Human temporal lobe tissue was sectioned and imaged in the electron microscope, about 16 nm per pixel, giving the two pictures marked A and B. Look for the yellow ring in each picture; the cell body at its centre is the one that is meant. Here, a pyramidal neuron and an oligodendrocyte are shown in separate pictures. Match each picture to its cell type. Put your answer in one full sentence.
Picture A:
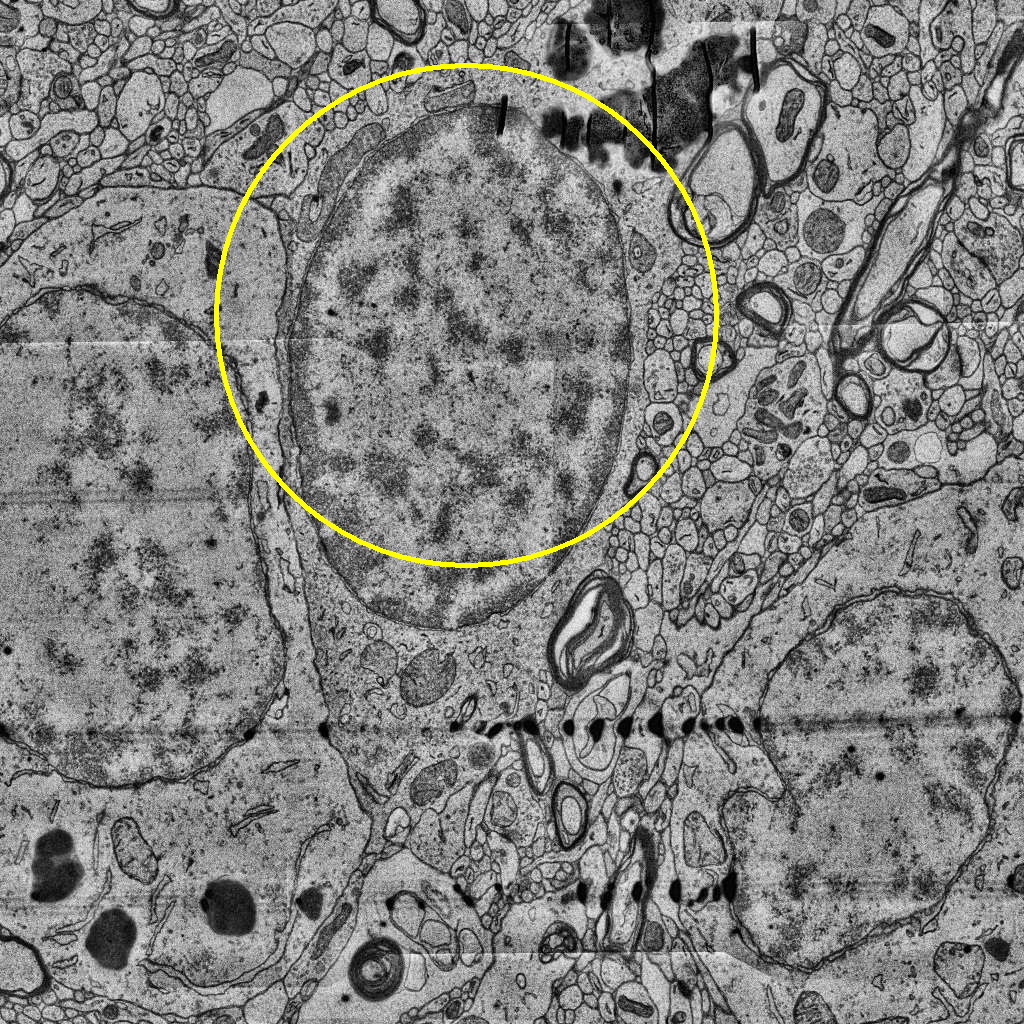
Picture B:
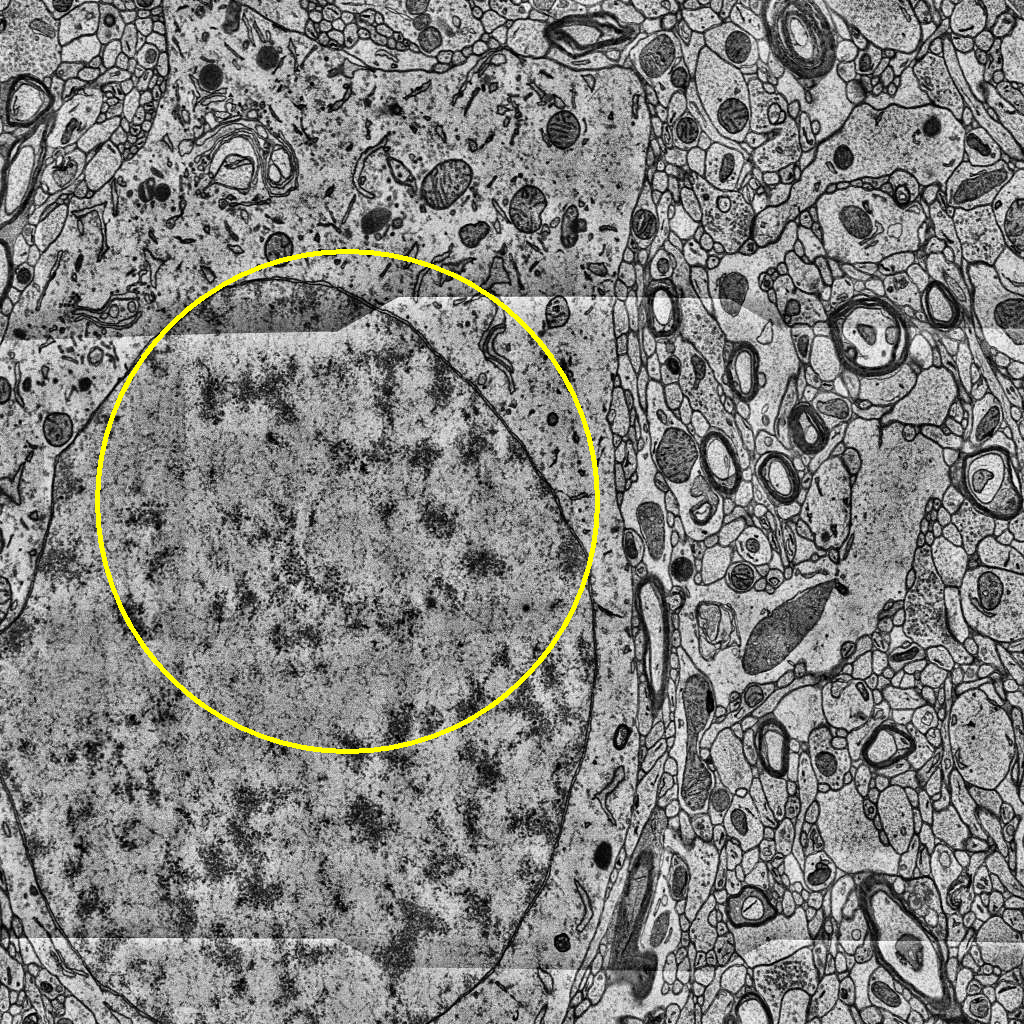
The cell in picture A is an oligodendrocyte, and the one in picture B is a pyramidal neuron.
